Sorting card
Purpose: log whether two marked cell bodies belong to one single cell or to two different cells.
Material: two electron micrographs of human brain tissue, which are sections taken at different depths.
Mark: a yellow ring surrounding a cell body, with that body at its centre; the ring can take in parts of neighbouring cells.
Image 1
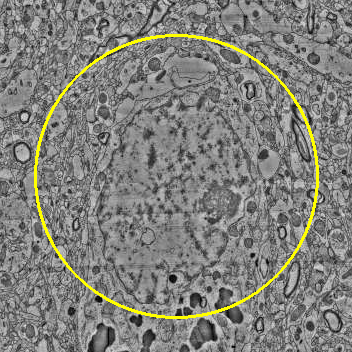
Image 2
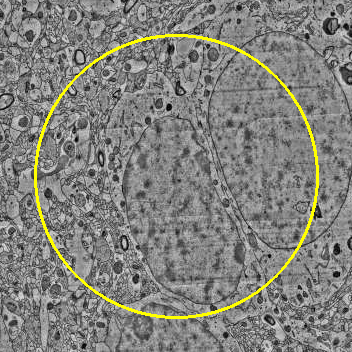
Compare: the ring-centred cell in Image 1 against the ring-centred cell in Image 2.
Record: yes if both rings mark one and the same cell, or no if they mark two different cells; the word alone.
no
